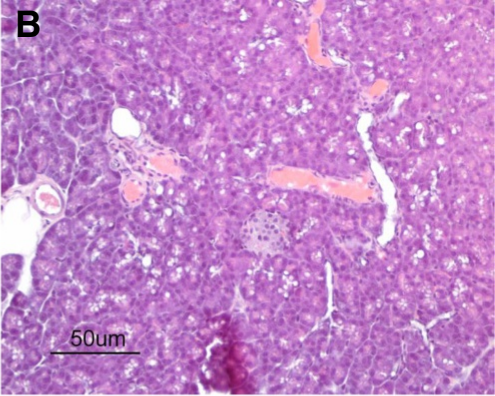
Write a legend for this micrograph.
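The purple-stained acinar tissue is dense, with cell borders hard to make out, and many small clear round spaces are scattered through it. Vessels with pink contents and a small pale islet lie among the acini. This is pancreas with disturbed architecture, degeneration with blurred cell borders and multiple vacuolization sites.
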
